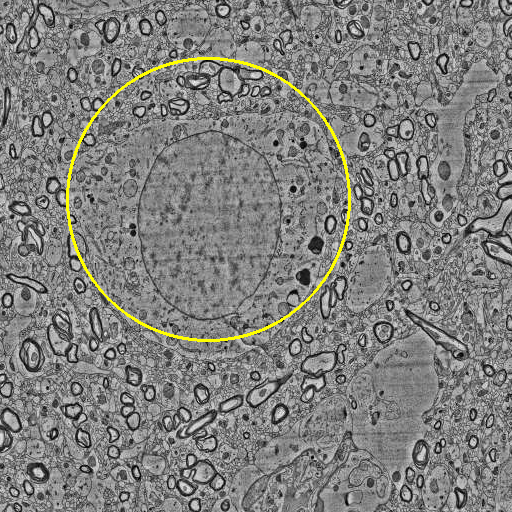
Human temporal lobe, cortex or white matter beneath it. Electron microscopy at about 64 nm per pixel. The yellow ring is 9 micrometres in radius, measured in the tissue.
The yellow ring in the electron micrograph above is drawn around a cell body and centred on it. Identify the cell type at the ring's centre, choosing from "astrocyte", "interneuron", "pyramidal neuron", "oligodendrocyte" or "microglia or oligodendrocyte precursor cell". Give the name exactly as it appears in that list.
pyramidal neuron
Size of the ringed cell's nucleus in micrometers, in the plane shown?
The ringed cell's nucleus measures approximately 12 by 9 micrometres in this plane.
